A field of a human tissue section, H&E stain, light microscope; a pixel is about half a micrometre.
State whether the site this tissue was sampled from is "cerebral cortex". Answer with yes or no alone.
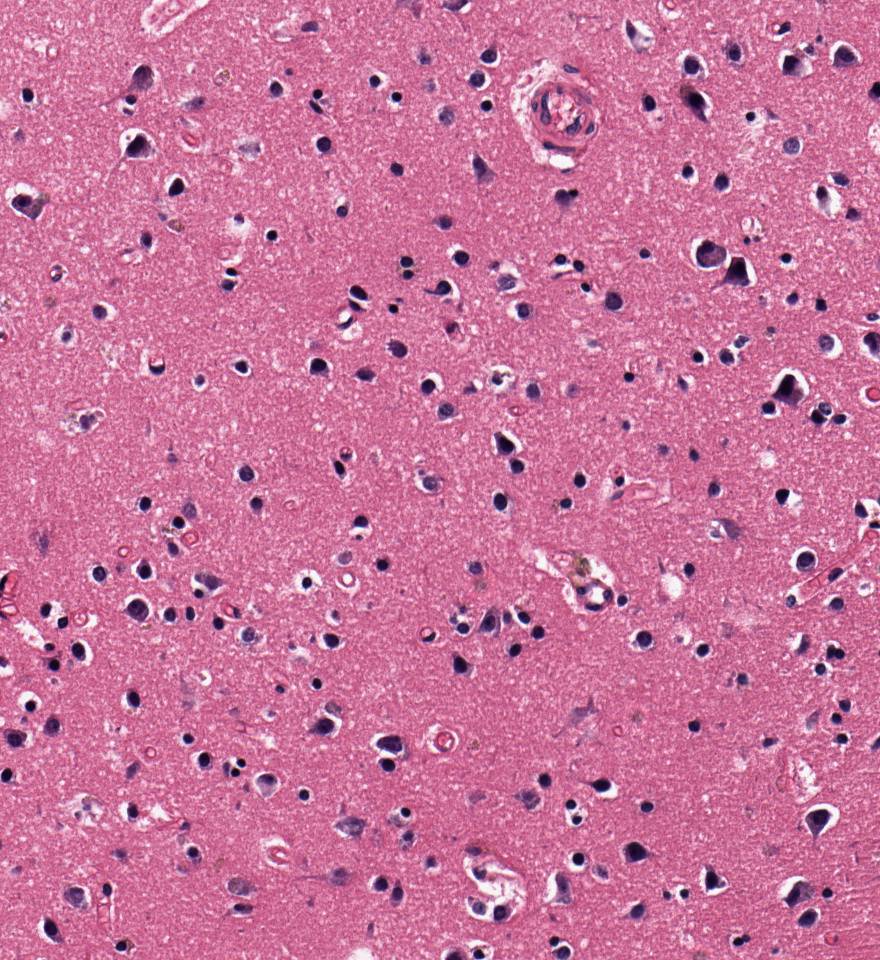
yes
